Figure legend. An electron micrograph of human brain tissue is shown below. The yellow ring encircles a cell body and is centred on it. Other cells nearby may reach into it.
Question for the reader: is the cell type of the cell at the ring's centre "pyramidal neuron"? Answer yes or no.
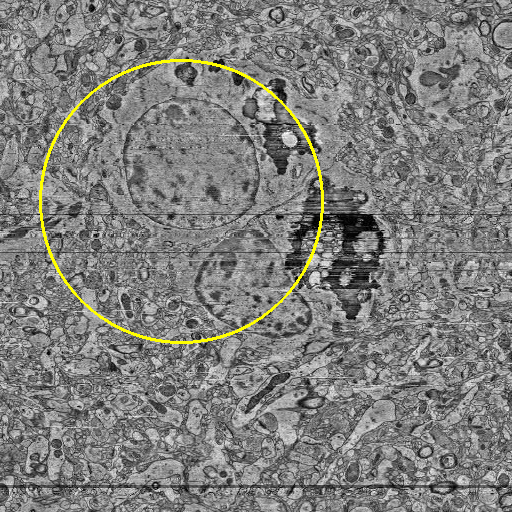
no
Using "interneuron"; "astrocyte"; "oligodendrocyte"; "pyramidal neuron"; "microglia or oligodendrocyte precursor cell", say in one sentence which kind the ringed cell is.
Here, the ring is centred on an astrocyte instead.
